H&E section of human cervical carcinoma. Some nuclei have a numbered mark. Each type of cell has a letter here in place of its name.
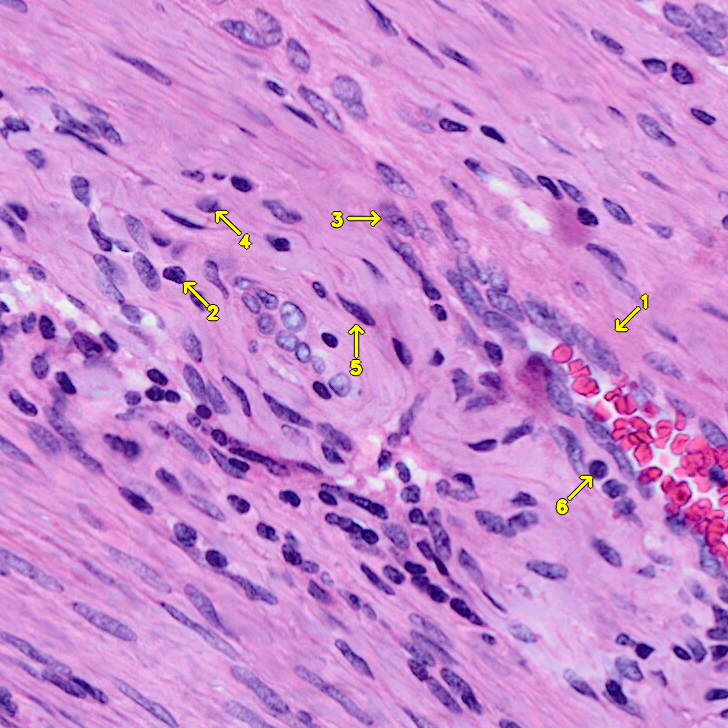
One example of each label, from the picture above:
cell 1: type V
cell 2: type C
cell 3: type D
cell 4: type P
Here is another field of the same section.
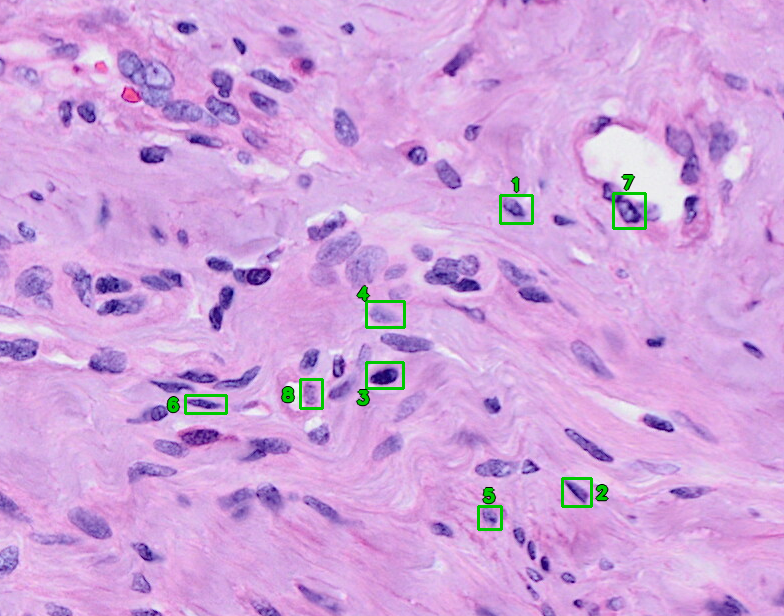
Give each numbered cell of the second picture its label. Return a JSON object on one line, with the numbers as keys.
{"1": "type P", "2": "type P", "3": "type C", "4": "type P", "5": "type D", "6": "type P", "7": "type V", "8": "type V"}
